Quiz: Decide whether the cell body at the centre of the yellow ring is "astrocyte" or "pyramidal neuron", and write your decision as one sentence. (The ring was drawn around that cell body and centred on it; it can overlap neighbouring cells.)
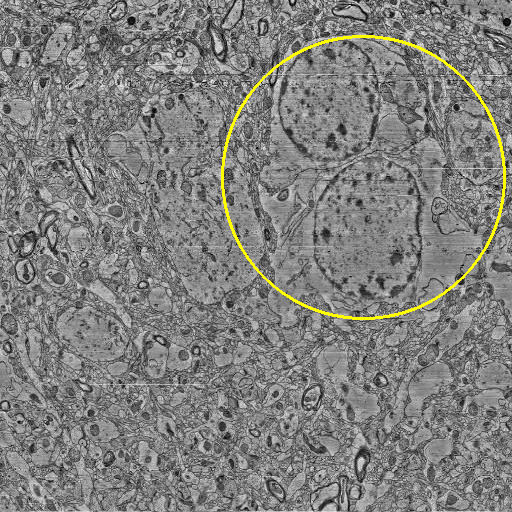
The cell the ring is centred on is an astrocyte.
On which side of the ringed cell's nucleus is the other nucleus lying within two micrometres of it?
The other nucleus can be seen above it.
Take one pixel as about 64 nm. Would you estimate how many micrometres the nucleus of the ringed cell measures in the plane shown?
About 9 micrometres by about 7 micrometres in this plane.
